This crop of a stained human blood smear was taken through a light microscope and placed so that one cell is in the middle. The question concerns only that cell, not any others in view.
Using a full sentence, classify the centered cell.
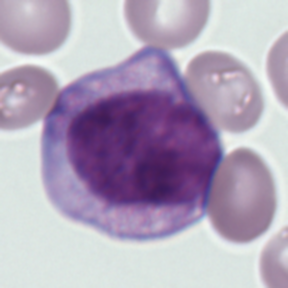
As for the central cell, it is an atypical promyelocyte.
